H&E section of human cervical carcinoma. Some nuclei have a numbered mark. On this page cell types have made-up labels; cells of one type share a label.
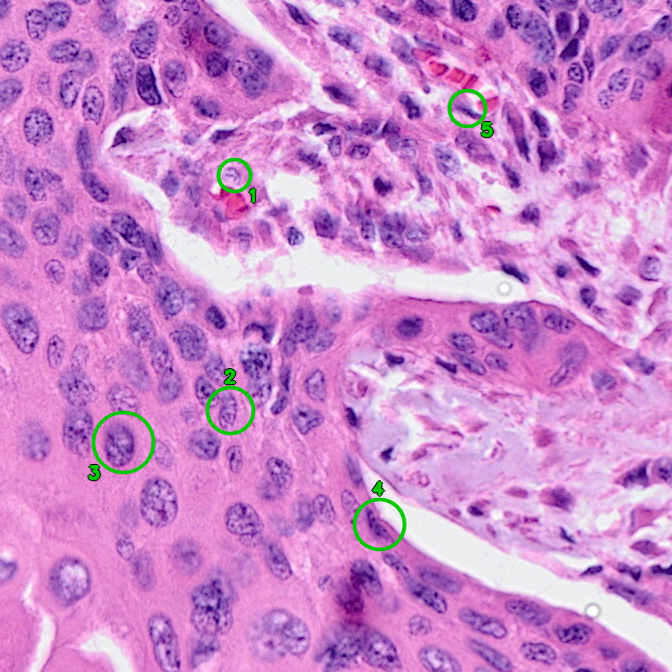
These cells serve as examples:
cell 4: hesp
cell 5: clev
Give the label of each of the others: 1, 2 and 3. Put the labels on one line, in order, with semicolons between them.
clev; hesp; hesp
